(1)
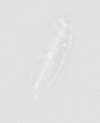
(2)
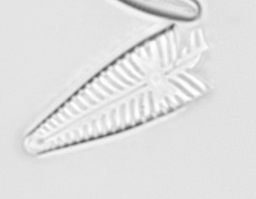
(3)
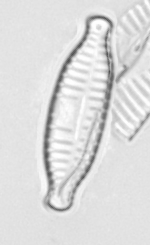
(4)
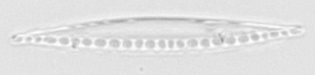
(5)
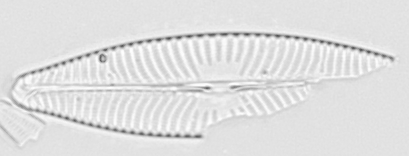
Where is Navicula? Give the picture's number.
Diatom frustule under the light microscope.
5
